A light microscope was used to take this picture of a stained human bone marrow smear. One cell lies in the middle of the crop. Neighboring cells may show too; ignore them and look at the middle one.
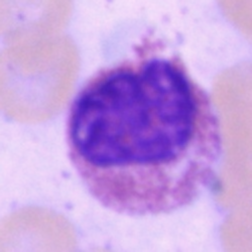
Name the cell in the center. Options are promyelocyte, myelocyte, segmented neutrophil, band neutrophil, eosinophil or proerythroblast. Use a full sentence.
Looking at the middle of the crop, the cell there is an eosinophil.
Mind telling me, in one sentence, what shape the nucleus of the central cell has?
What stands out is a nucleus forming one compact round, oval or kidney-shaped mass.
